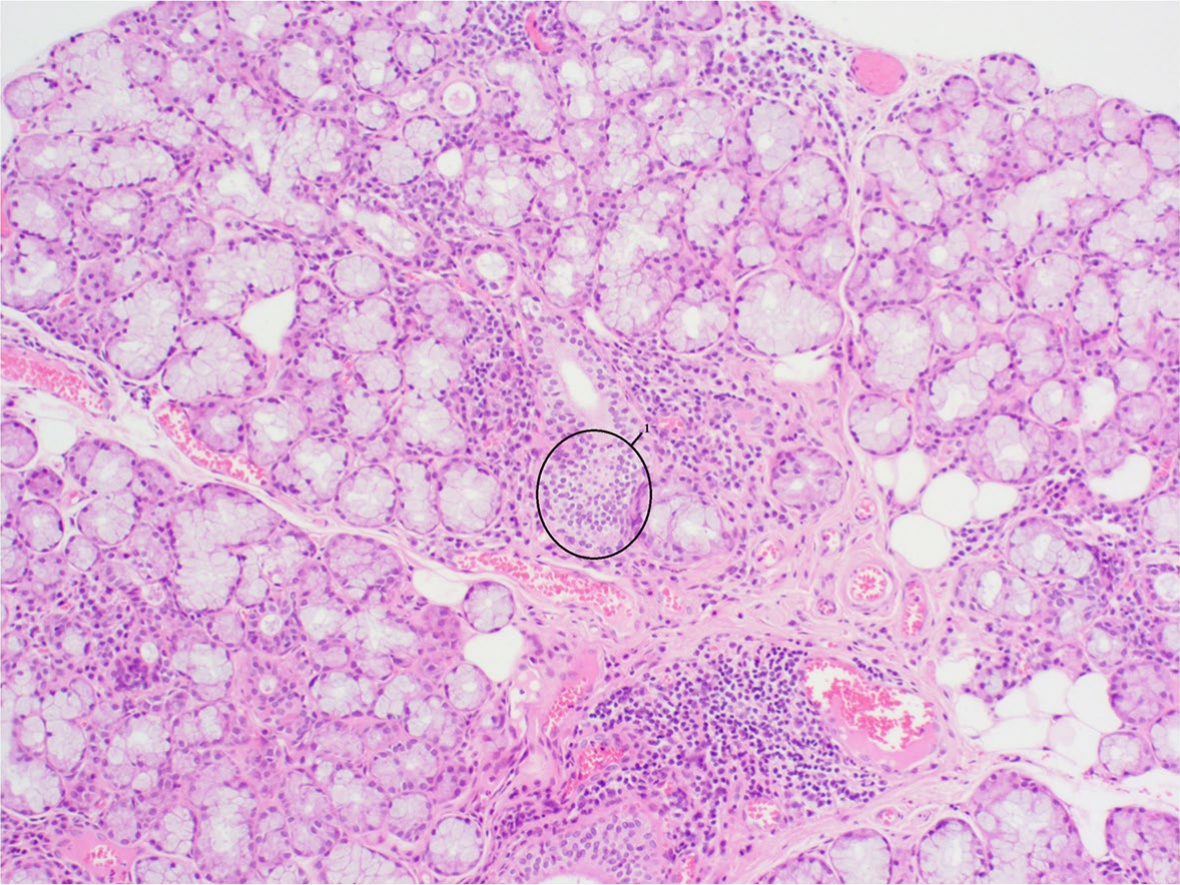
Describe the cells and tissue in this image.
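Minor salivary gland tissue made mostly of mucous acini, whose cells have pale, foamy, finely bubbly pink cytoplasm and small, flattened dark nuclei pressed to the base of the cells. Among the acini run ducts lined by cuboidal cells with pinker cytoplasm, and thin strands of pink connective tissue carrying vessels filled with red blood cells, with a few empty fat cells on the right. Dense aggregates of small round lymphocytes with dark purple nuclei cluster around a duct in the centre and near a vessel at the bottom.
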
